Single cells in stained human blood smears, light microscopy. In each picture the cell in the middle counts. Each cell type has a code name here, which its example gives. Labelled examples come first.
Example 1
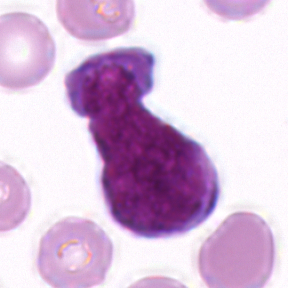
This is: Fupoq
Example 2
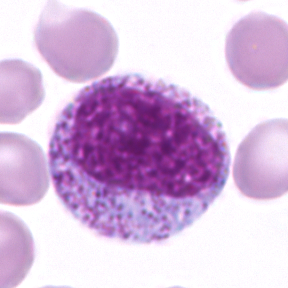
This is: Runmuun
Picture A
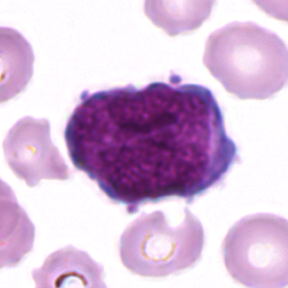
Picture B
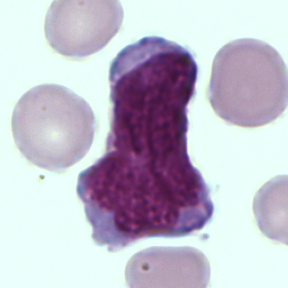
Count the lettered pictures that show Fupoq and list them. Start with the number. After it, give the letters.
2: A, B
